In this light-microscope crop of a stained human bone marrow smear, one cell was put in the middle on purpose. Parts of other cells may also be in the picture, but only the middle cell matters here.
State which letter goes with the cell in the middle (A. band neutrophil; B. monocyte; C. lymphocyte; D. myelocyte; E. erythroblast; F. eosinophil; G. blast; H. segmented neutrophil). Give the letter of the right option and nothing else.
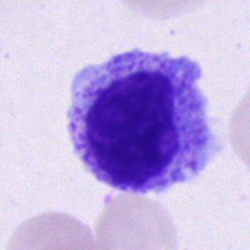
D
